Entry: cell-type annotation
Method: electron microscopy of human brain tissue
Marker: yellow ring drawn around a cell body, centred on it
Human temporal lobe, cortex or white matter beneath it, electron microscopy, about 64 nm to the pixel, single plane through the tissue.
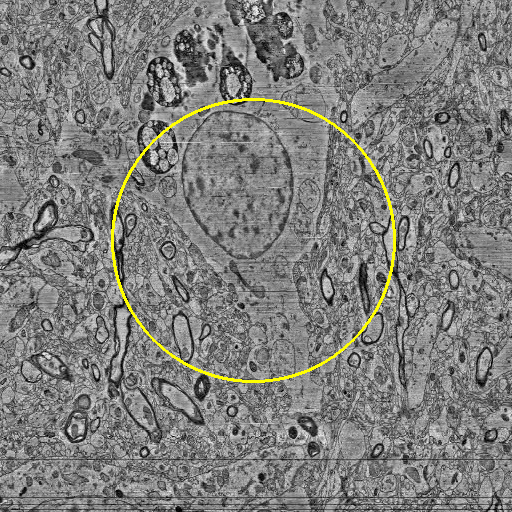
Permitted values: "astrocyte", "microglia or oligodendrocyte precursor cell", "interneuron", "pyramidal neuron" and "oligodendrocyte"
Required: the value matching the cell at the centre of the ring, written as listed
astrocyte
